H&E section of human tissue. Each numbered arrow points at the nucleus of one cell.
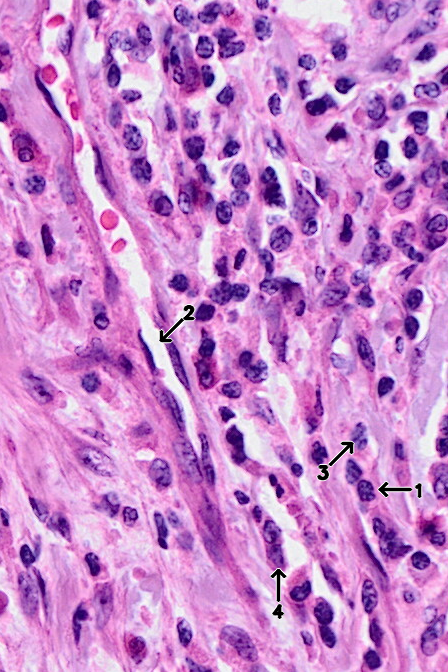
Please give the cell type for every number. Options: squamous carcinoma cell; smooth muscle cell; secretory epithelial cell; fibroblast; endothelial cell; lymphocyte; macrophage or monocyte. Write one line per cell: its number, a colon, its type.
1: lymphocyte
2: endothelial cell
3: lymphocyte
4: macrophage or monocyte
